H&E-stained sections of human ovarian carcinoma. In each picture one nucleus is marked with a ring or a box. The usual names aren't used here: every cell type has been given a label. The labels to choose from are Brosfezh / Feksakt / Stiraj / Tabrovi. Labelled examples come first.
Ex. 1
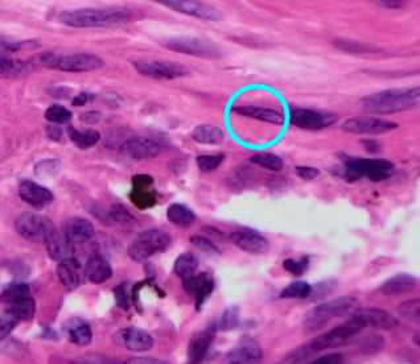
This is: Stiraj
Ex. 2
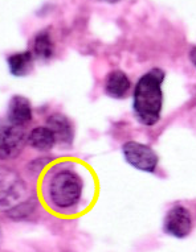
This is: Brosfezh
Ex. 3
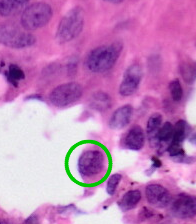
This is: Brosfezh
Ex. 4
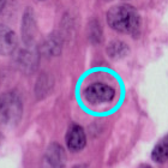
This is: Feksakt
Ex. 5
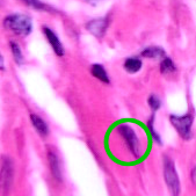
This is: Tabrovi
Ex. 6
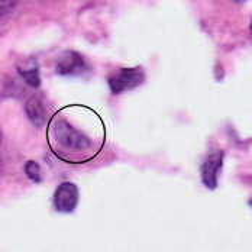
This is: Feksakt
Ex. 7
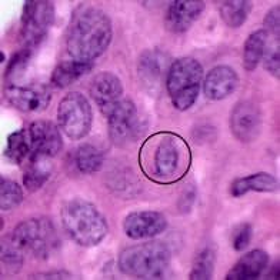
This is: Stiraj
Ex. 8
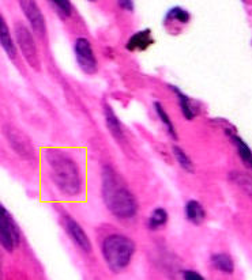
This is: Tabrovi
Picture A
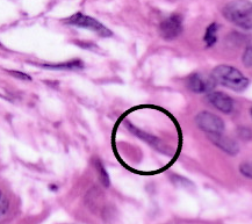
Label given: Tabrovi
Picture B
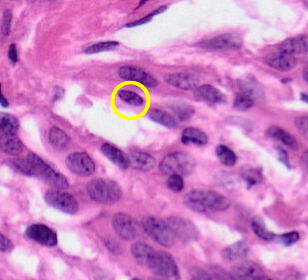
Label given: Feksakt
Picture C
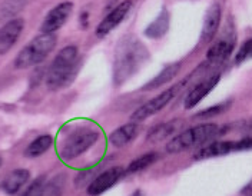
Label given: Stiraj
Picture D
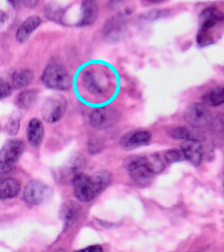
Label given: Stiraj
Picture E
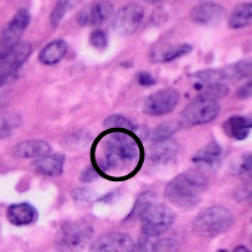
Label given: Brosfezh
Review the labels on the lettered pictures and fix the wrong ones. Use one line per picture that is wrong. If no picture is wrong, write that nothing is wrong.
C is labelled Stiraj; correct label: Brosfezh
